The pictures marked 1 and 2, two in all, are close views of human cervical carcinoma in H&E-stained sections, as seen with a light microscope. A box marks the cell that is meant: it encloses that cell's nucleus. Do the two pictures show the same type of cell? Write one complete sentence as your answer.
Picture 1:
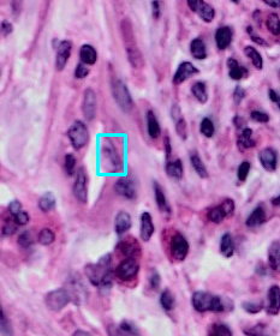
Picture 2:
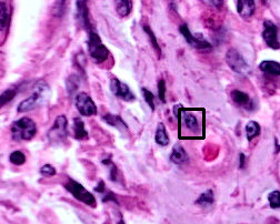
Yes, both are endothelial cells.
